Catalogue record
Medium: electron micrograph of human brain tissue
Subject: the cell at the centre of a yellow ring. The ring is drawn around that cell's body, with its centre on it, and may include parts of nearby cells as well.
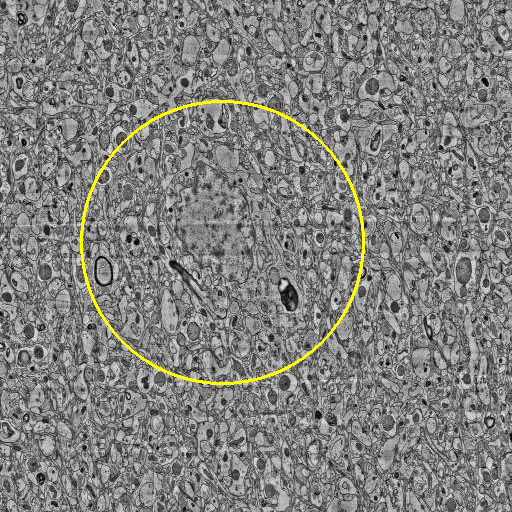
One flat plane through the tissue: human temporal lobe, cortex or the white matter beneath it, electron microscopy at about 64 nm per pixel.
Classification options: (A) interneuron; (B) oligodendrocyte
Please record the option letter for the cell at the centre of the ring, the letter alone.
A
